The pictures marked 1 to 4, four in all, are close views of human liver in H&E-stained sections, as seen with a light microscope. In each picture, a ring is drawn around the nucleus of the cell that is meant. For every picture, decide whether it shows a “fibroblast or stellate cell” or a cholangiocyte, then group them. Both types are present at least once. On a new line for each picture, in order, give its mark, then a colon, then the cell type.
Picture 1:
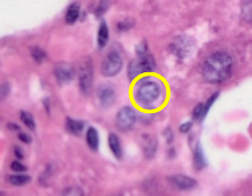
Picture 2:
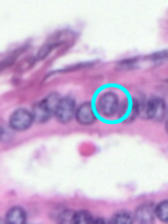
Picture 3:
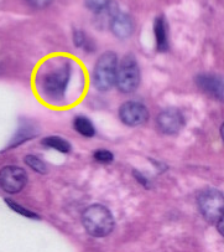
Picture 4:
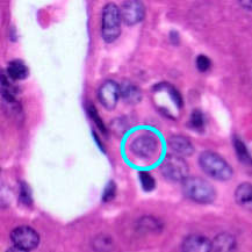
1: cholangiocyte
2: cholangiocyte
3: fibroblast or stellate cell
4: cholangiocyte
